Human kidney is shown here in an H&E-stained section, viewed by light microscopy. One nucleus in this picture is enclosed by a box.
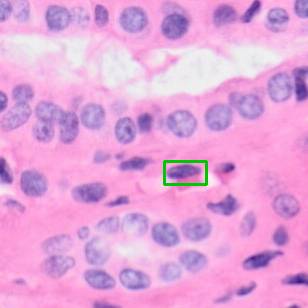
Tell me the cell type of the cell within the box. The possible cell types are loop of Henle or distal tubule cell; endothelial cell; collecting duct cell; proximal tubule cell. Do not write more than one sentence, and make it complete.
Speaking plainly, the cell within the box is nothing other than an endothelial cell.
